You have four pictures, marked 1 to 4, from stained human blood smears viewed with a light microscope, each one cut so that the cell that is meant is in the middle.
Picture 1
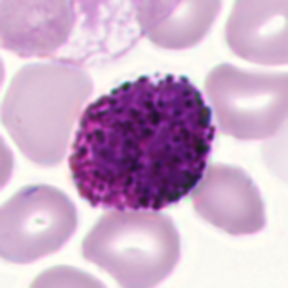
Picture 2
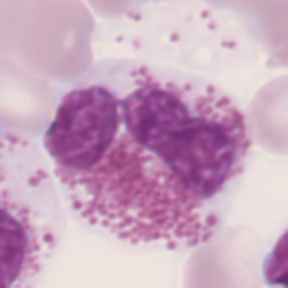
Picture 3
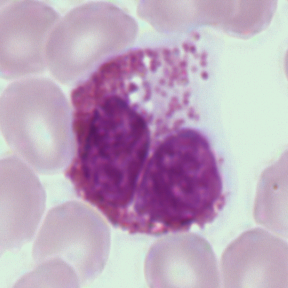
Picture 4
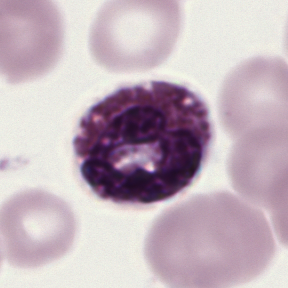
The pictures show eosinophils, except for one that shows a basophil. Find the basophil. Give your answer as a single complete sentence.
It is picture 1 that shows the basophil.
